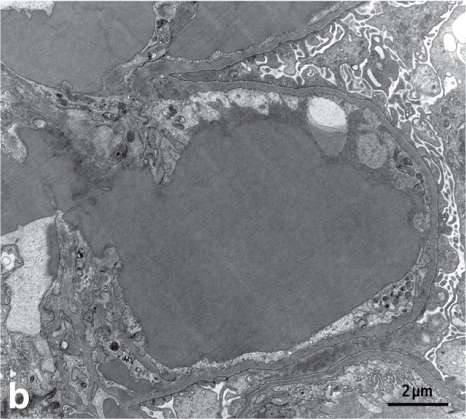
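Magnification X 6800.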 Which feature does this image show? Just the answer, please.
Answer: Glomerular capillary loop.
